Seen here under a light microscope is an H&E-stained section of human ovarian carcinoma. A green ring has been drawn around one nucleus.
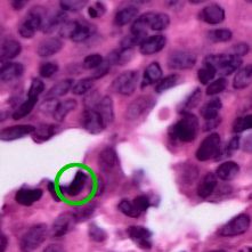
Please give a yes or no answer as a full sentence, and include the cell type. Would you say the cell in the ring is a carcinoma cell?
Yes, the cell in the ring has been classified as a carcinoma cell.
